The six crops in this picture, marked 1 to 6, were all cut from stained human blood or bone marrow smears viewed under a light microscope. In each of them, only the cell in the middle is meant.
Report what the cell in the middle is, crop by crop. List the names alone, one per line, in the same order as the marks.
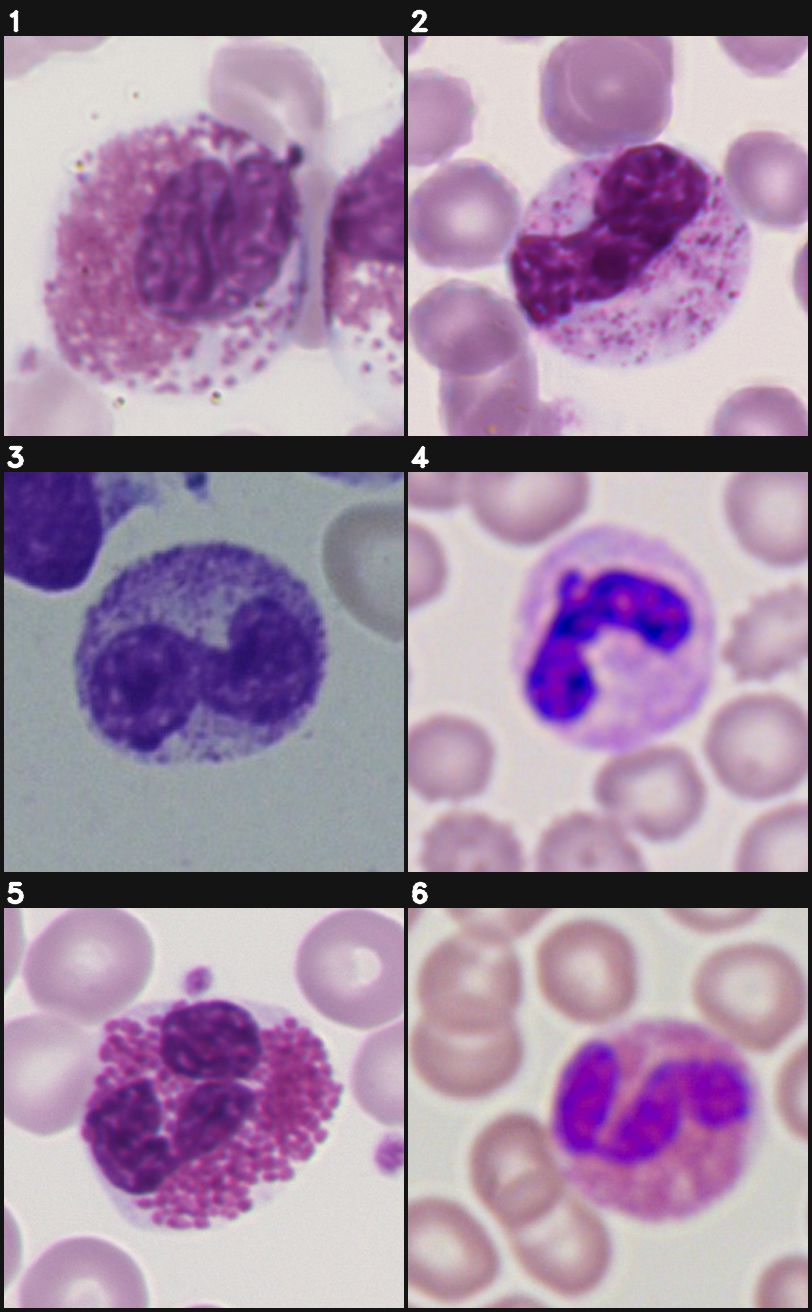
eosinophil
band neutrophil
band neutrophil
band neutrophil
eosinophil
eosinophil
